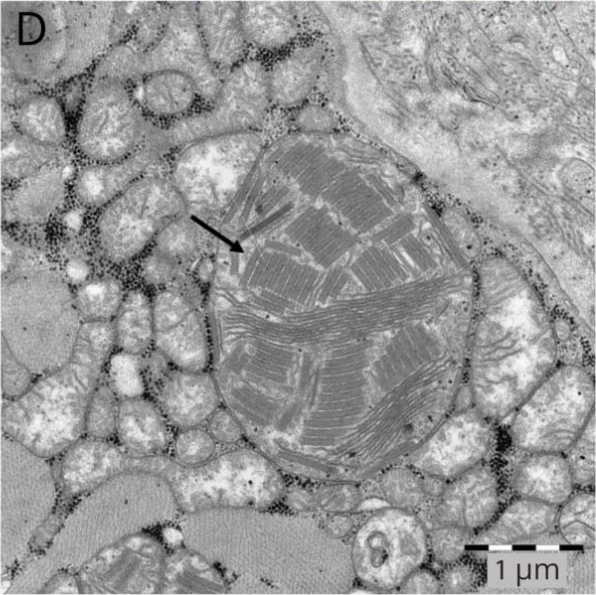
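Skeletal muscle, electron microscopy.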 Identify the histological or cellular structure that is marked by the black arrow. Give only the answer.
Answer: Paracrystalline inclusions.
